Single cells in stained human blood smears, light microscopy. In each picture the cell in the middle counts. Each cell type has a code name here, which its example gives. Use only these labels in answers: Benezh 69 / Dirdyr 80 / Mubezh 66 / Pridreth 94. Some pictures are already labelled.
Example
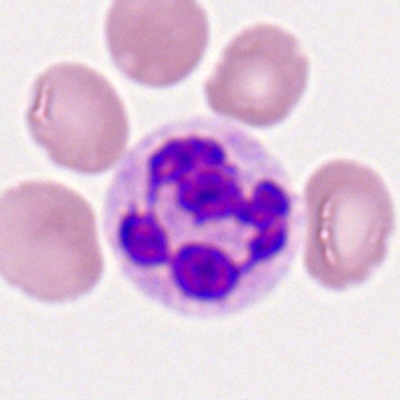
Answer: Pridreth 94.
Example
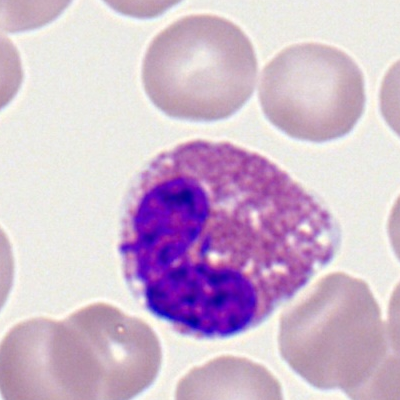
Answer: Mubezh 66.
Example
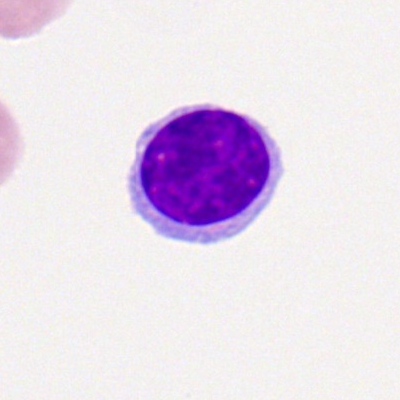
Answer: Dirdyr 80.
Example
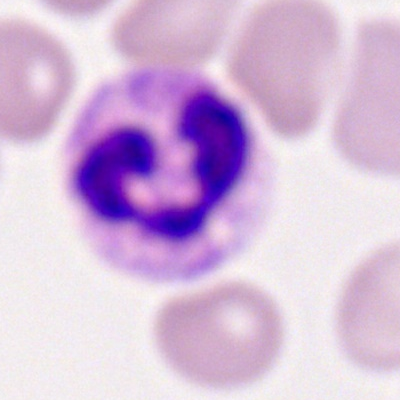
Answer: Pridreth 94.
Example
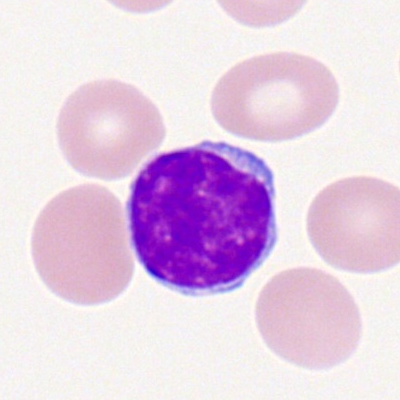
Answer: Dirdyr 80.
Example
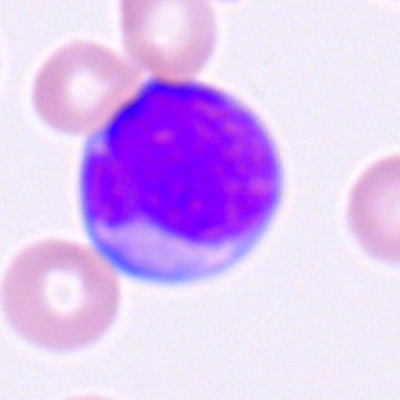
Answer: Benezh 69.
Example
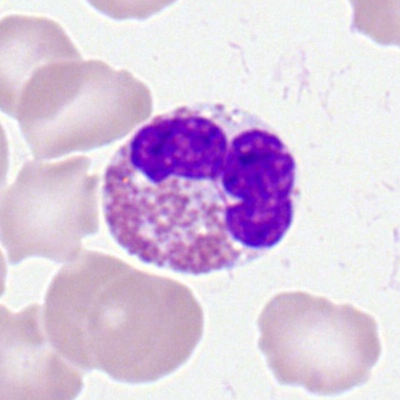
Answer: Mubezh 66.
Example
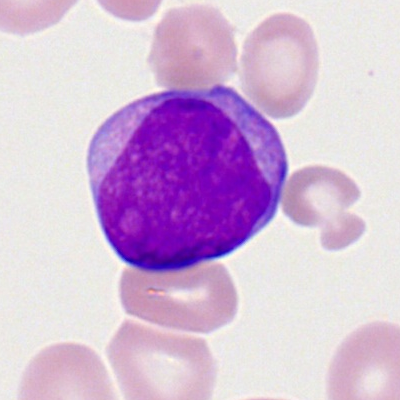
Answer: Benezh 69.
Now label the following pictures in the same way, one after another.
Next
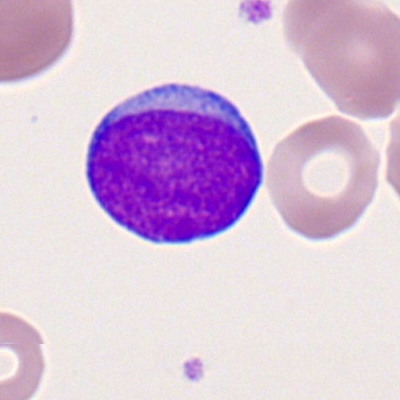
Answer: Benezh 69.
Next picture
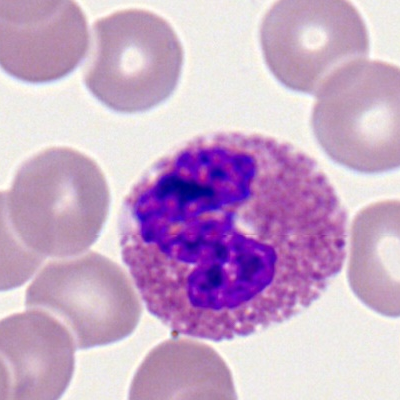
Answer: Mubezh 66.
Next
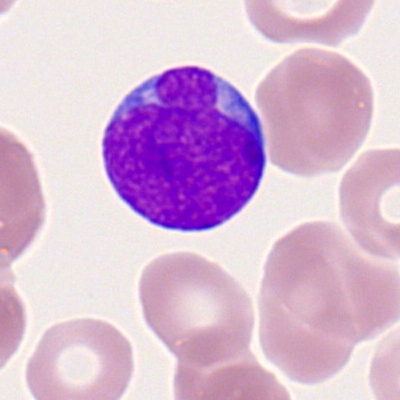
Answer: Benezh 69.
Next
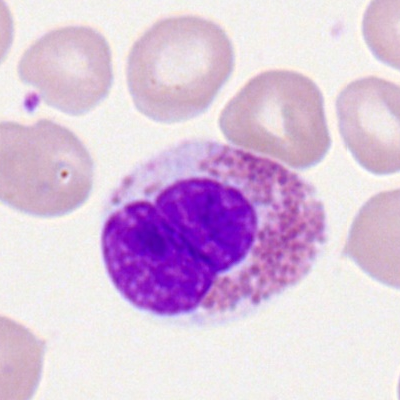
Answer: Mubezh 66.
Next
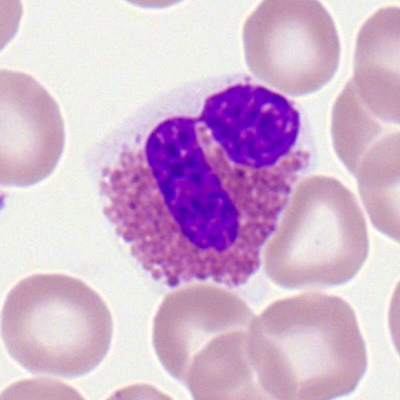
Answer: Mubezh 66.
